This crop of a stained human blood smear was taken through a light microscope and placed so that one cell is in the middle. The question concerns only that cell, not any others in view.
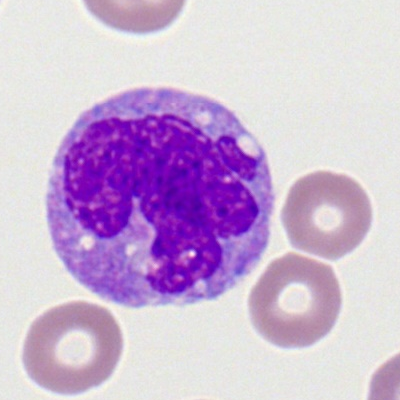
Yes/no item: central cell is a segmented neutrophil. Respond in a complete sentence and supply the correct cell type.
No, the central cell isn't a segmented neutrophil, but a monocyte.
